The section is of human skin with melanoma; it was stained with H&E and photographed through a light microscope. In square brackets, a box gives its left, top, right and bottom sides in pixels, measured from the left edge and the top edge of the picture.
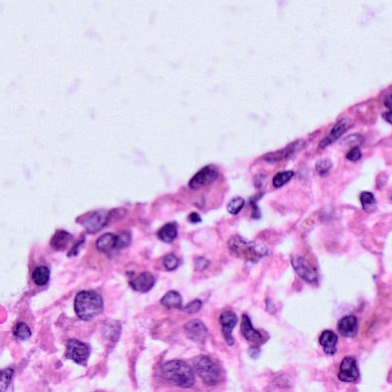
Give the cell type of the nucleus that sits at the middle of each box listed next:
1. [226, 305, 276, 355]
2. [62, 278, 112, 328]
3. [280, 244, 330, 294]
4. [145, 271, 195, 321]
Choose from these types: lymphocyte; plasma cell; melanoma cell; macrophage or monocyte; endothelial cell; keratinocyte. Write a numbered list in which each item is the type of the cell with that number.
1. macrophage or monocyte
2. melanoma cell
3. macrophage or monocyte
4. macrophage or monocyte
